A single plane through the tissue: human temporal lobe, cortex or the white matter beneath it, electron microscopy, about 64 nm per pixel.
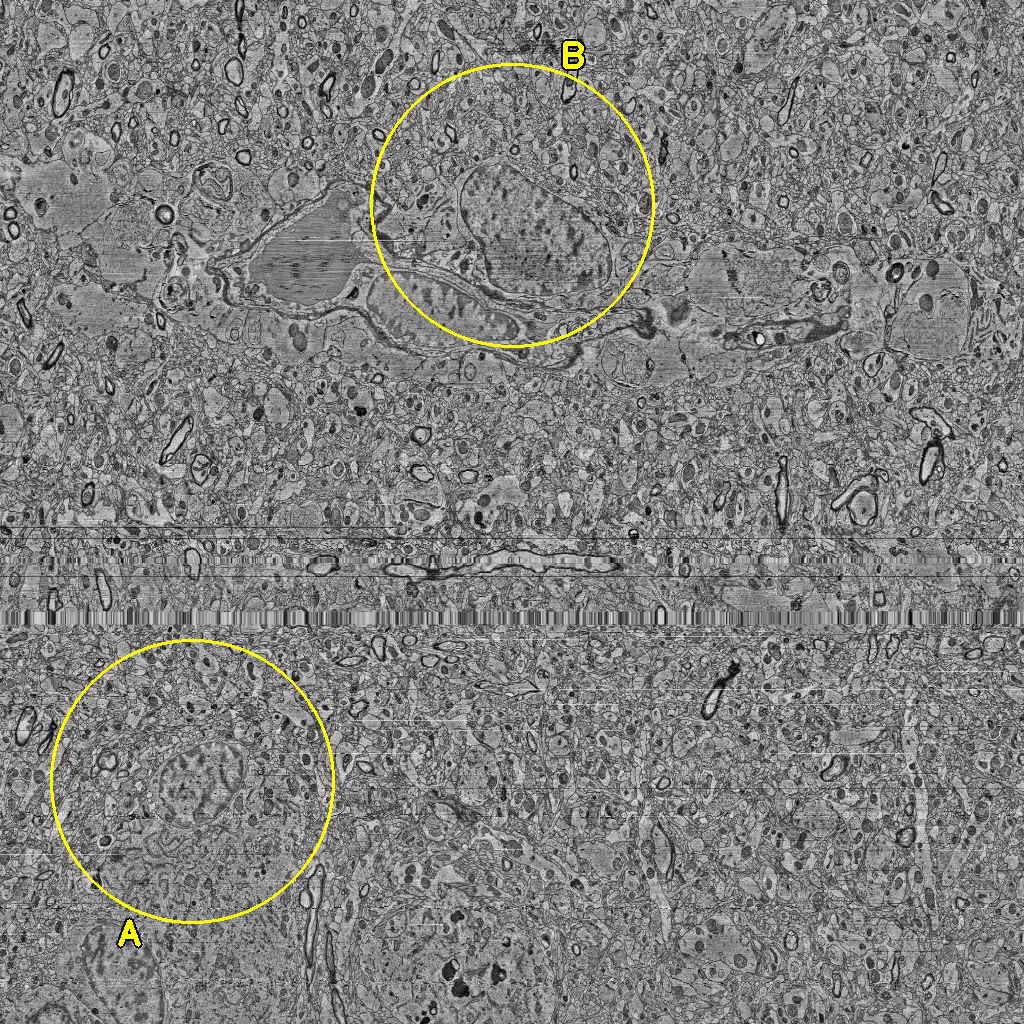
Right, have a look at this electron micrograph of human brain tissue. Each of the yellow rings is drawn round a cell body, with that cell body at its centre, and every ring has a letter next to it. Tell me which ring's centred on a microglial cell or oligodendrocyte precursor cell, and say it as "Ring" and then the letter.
Ring B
